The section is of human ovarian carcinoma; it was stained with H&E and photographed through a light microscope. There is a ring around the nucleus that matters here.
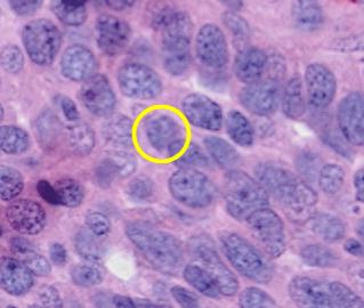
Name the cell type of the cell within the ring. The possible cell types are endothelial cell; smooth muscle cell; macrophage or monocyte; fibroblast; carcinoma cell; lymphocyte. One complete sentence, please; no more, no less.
Typologically, the cell within the ring is a carcinoma cell in this section.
